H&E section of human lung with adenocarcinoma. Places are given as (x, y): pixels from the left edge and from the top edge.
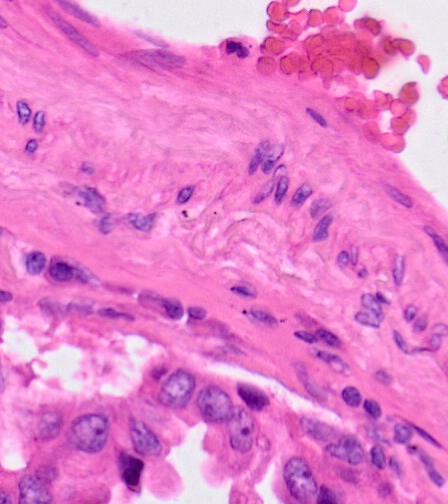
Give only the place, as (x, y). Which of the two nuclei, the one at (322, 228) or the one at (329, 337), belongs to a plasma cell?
(329, 337)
